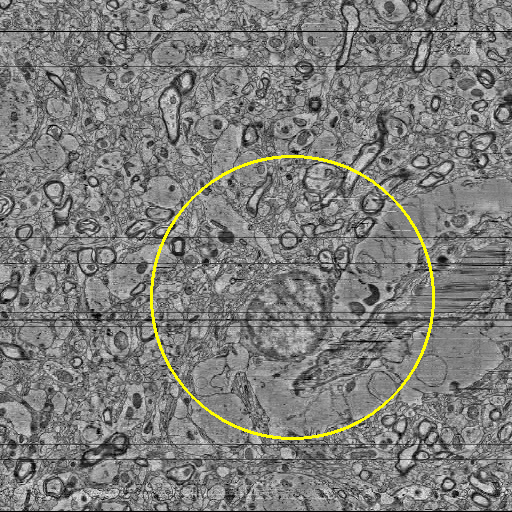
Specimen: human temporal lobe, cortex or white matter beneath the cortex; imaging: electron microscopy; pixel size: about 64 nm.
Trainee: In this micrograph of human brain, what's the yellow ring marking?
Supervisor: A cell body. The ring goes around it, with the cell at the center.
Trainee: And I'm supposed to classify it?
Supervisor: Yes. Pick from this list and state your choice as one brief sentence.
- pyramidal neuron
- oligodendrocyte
The cell at the ring's center is an oligodendrocyte.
